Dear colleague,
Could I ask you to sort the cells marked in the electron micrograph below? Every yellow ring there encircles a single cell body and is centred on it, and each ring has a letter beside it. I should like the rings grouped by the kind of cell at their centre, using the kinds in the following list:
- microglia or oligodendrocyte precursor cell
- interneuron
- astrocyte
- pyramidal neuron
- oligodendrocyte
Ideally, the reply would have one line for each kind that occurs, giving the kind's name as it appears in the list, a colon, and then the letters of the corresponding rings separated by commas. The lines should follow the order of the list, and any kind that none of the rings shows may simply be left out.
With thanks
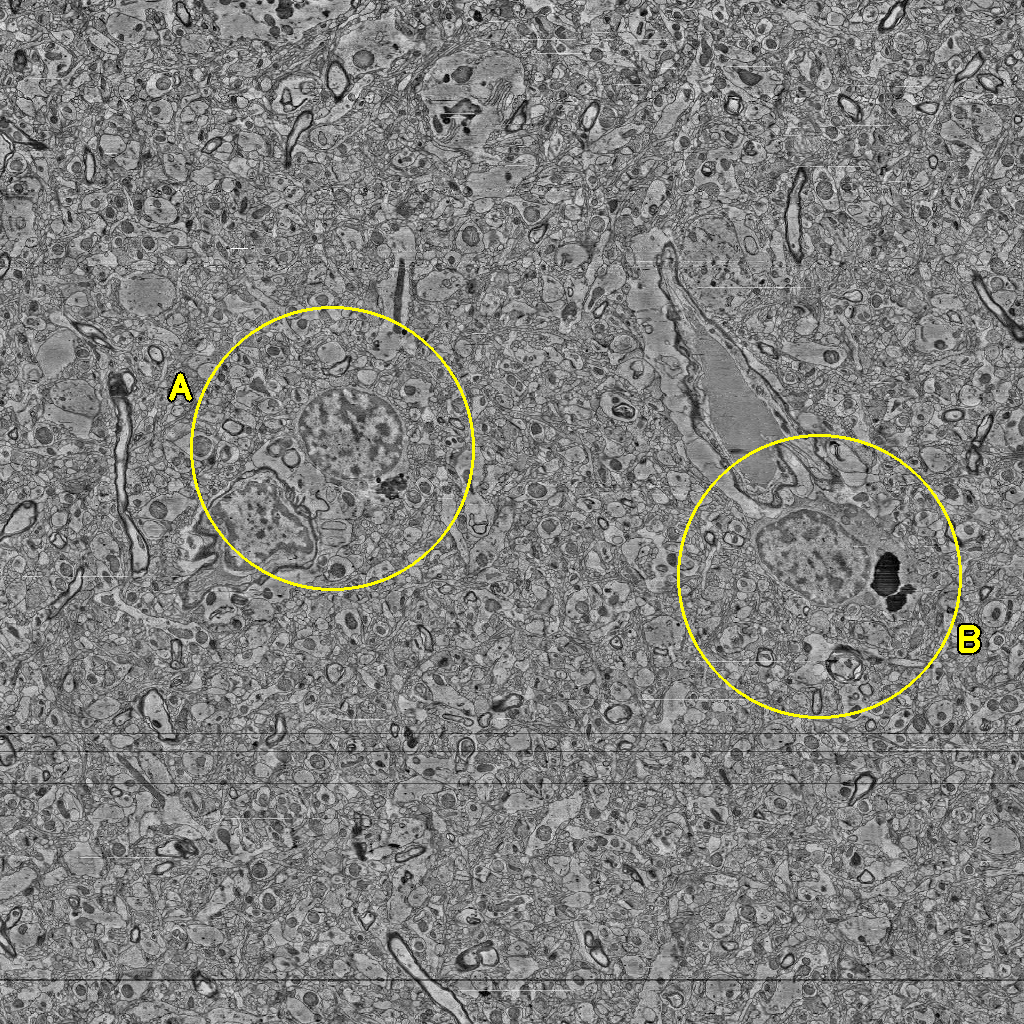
oligodendrocyte: A, B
